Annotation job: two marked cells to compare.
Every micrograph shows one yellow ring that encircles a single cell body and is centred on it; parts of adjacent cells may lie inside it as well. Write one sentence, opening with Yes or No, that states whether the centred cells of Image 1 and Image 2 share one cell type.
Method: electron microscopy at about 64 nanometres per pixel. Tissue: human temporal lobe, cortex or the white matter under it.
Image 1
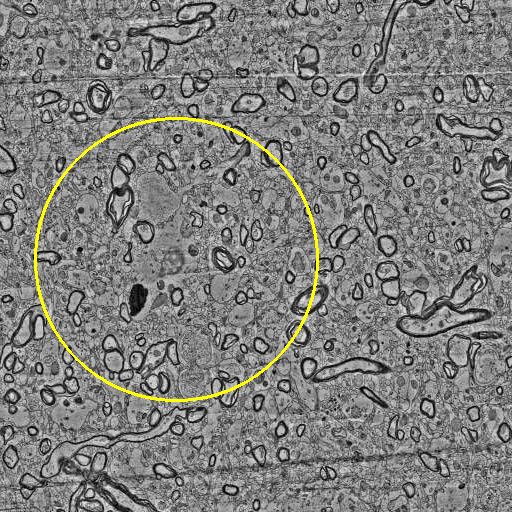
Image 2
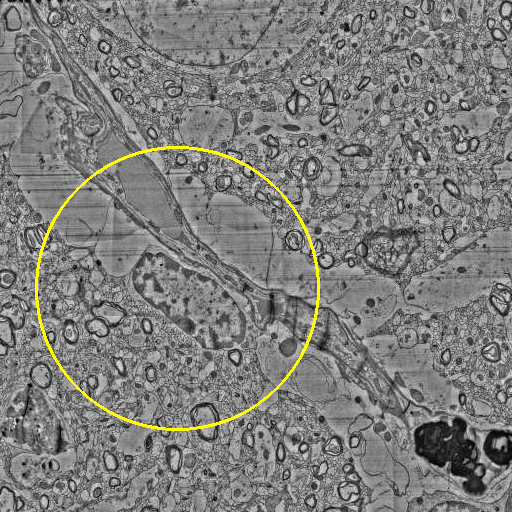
No, the cell centred in Image 1 and the cell centred in Image 2 are of two types.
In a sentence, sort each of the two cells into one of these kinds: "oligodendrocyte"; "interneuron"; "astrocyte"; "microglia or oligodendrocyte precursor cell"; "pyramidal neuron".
The first of the two cells is an oligodendrocyte, and the second is a microglial cell or oligodendrocyte precursor cell.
